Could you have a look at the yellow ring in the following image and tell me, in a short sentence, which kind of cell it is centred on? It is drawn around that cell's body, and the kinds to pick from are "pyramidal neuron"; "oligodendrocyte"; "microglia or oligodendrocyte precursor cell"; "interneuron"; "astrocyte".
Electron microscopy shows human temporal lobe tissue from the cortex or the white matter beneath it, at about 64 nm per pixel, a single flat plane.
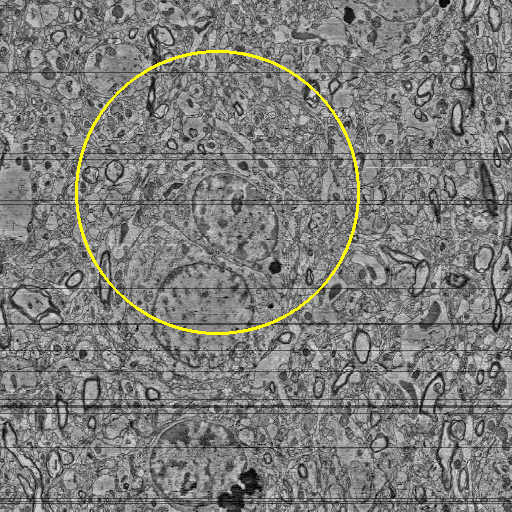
The ring is centred on the body of an oligodendrocyte.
